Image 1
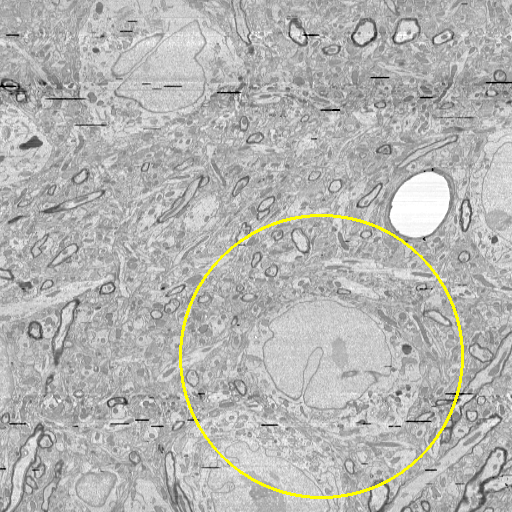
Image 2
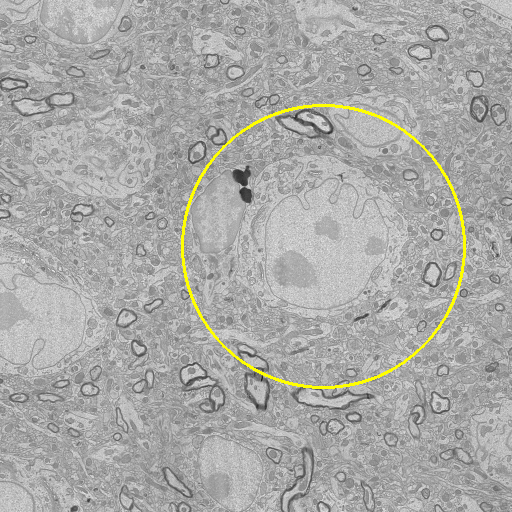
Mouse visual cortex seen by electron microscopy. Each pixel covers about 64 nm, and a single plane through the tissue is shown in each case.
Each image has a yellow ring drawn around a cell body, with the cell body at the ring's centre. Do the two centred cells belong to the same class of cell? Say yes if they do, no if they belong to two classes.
yes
